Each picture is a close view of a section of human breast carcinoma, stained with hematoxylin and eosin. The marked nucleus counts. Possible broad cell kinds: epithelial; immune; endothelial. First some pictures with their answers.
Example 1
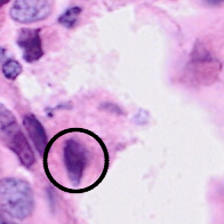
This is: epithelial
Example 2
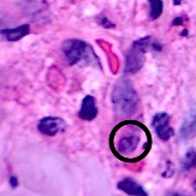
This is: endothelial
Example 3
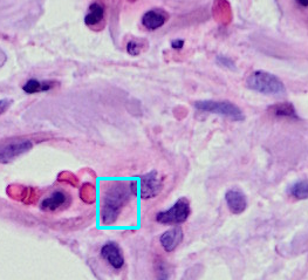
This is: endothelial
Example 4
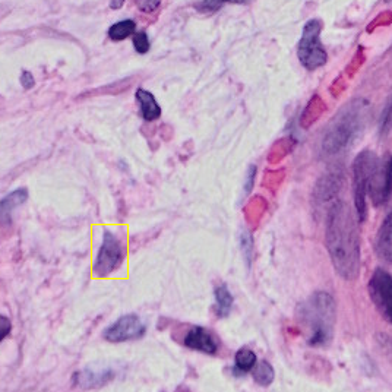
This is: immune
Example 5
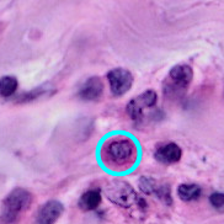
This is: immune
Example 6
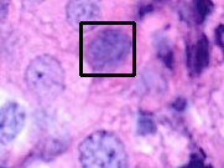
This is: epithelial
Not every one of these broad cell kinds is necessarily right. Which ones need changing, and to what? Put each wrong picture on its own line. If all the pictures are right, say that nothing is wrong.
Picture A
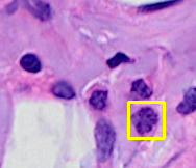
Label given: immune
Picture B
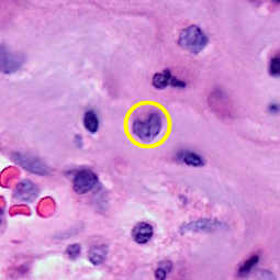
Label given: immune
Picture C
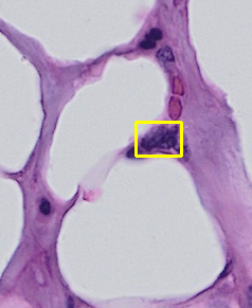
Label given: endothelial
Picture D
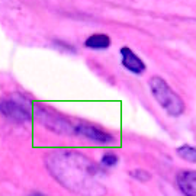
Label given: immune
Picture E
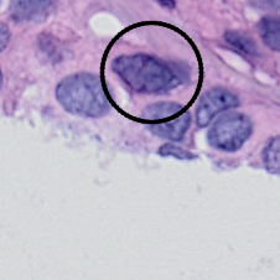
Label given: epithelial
D should be endothelial, not immune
